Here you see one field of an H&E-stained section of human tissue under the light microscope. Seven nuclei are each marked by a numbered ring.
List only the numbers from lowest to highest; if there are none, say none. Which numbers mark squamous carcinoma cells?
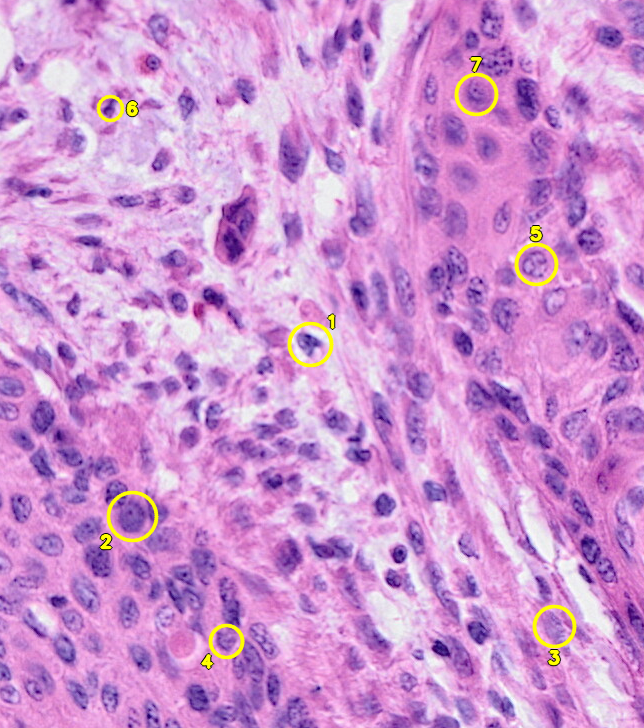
2, 4, 5, 7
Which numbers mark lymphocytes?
1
